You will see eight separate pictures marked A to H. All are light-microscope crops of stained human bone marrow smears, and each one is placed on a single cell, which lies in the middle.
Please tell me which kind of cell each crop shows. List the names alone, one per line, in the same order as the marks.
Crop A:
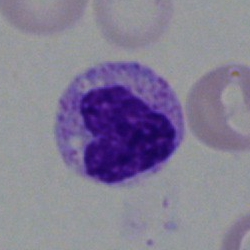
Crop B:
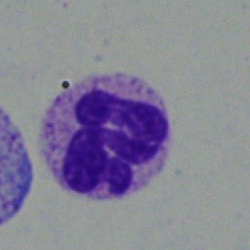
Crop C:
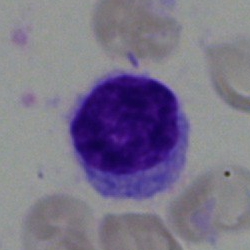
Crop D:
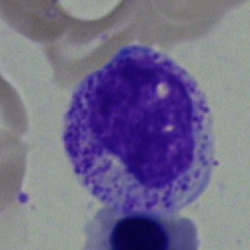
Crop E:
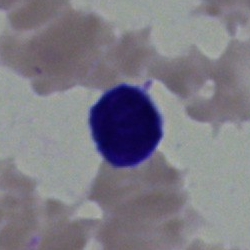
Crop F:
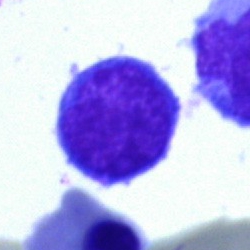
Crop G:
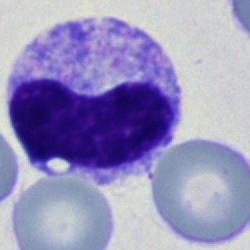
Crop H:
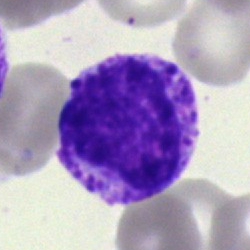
metamyelocyte
segmented neutrophil
hairy cell
myelocyte
lymphocyte
blast
metamyelocyte
basophil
